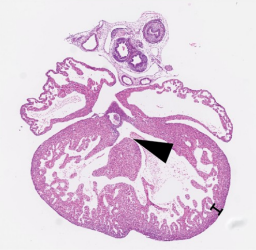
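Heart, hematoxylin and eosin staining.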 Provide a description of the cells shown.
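Inside, the ventricular walls carry a dense meshwork of muscular trabeculae projecting into the chambers, with only a thin compact layer on the outside. Just below the valves, at the top of the wall between the ventricles, an opening links the two ventricular cavities.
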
